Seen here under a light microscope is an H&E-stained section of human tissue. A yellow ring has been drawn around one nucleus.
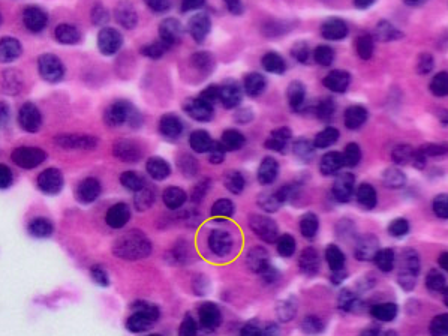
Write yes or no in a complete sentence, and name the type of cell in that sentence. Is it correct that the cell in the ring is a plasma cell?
Yes, it is the case that the cell in the ring is a plasma cell.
